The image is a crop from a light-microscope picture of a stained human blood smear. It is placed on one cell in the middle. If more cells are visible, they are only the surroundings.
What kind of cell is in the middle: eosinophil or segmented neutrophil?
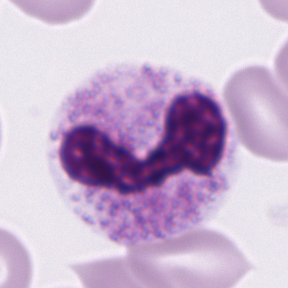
segmented neutrophil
